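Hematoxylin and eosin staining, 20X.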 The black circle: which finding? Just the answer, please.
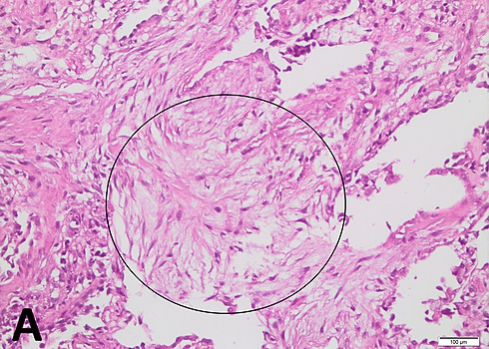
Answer: Fibroblastic proliferation.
